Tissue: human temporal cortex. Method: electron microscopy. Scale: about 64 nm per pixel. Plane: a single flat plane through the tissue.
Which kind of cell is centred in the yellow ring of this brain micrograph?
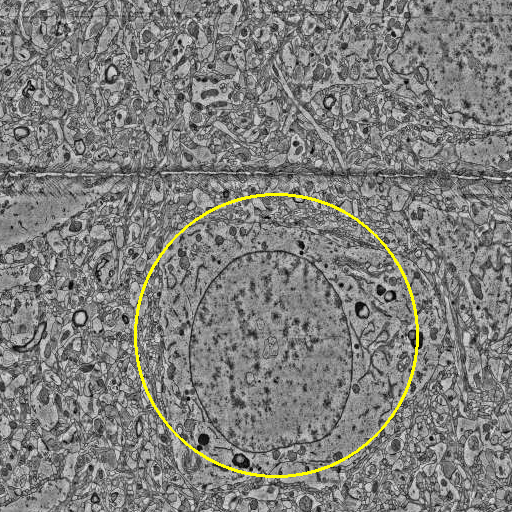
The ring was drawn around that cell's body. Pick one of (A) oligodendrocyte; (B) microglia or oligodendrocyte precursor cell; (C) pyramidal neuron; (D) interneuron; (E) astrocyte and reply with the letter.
C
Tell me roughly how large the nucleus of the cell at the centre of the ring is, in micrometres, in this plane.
In this plane the nucleus measures roughly 13 by 11 micrometers.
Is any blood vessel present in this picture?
No, no vessel shows anywhere in the image.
